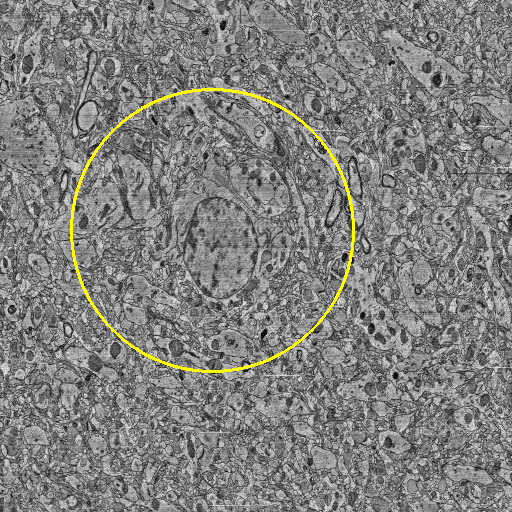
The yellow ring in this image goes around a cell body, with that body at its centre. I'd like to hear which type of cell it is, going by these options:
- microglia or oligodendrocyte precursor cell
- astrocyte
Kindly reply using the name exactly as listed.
astrocyte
